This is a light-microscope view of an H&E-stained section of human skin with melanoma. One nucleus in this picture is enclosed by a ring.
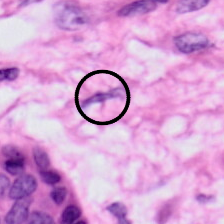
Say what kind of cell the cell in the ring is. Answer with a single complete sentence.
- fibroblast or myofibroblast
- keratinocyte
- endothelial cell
The identity of the cell in the ring is that of a fibroblast or myofibroblast.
